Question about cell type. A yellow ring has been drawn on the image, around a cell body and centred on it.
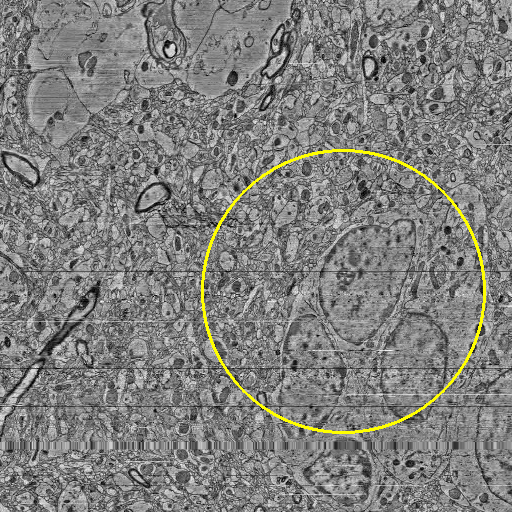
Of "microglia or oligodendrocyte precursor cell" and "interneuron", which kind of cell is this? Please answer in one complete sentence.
At the centre of the ring lies a microglial cell or oligodendrocyte precursor cell.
